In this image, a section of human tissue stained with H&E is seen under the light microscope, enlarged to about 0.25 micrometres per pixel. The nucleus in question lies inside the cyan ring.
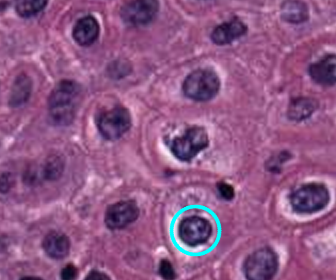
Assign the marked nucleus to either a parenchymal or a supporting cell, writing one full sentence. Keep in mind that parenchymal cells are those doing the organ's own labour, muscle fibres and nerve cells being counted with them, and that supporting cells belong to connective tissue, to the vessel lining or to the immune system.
The marked nucleus is attributed to a parenchymal cell, namely a squamous epithelial cell.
